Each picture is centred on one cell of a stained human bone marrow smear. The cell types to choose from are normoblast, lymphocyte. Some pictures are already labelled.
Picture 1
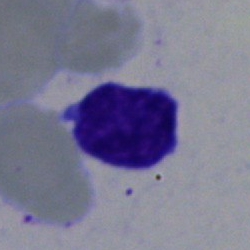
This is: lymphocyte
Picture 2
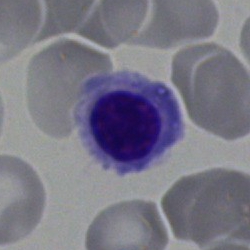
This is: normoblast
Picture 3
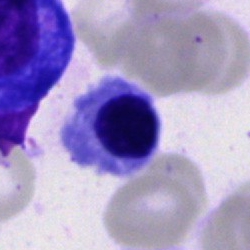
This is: normoblast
